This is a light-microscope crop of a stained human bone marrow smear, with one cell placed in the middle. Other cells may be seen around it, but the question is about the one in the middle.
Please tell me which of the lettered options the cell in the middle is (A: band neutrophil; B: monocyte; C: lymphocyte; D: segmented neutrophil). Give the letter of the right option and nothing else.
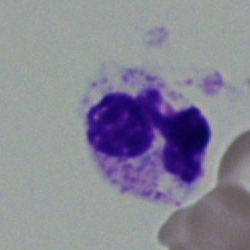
D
